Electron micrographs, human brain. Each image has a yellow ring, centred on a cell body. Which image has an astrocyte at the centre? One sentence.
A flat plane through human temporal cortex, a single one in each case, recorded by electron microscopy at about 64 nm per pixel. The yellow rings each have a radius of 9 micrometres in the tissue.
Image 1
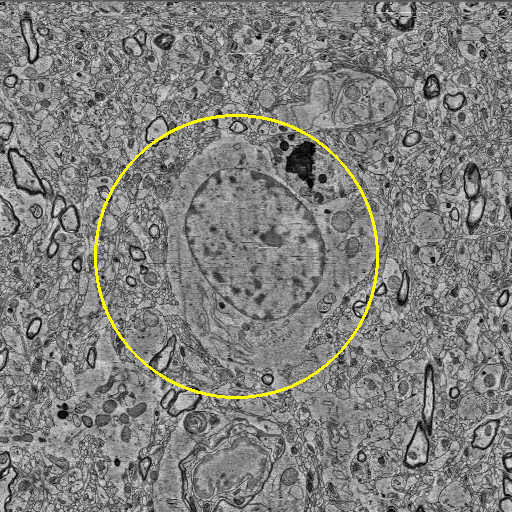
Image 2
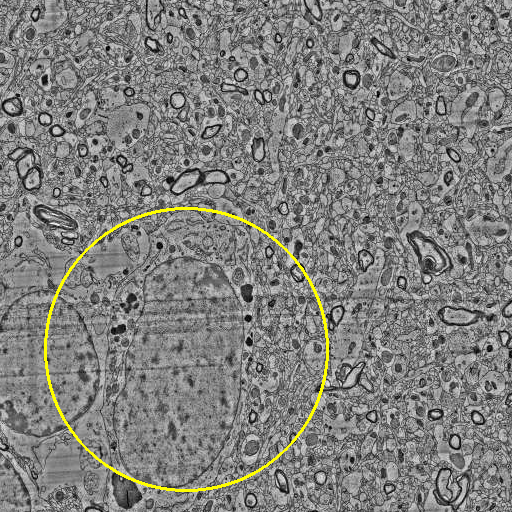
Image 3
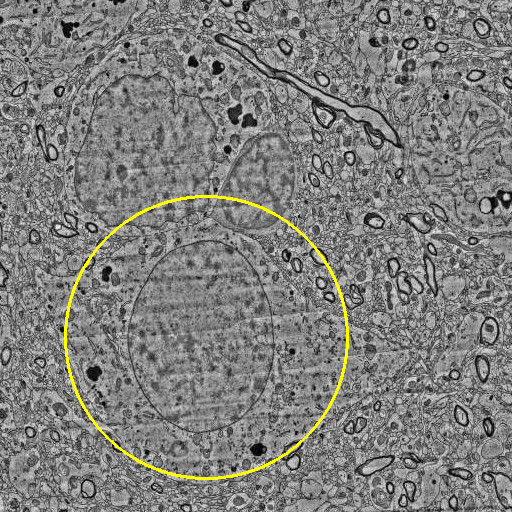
The ring in Image 1 is centred on it.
